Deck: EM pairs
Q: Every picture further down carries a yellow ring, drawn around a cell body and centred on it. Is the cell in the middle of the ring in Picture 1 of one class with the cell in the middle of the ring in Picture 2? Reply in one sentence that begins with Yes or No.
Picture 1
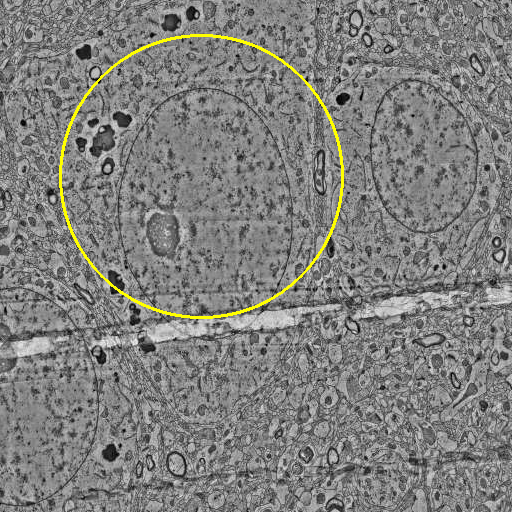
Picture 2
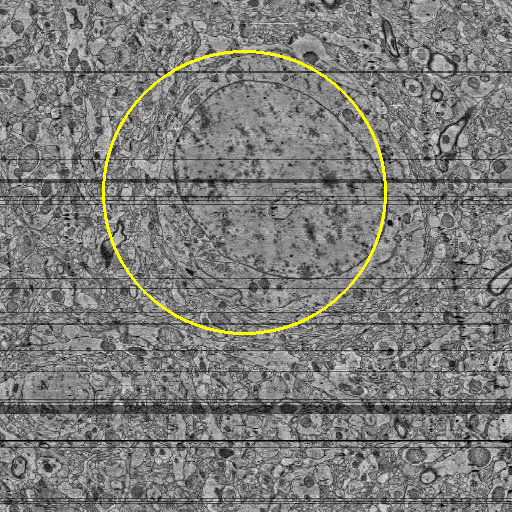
Yes, the cell centred in the ring of Picture 1 and the one in Picture 2 belong to one class.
